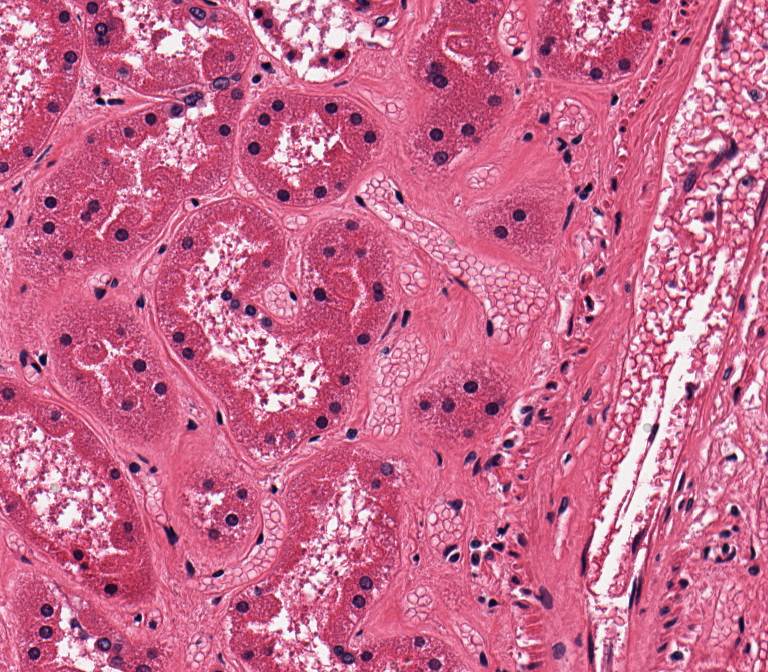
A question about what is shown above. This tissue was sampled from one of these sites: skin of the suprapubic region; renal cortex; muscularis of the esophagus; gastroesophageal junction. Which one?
renal cortex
